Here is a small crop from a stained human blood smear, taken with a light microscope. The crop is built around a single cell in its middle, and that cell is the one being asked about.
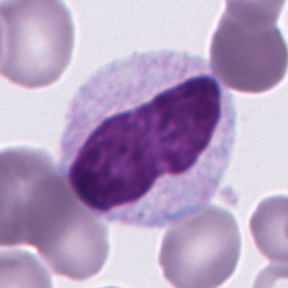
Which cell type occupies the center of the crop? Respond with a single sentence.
The identification for the central cell is a band neutrophil.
